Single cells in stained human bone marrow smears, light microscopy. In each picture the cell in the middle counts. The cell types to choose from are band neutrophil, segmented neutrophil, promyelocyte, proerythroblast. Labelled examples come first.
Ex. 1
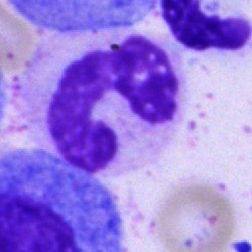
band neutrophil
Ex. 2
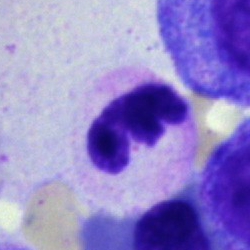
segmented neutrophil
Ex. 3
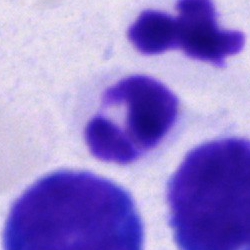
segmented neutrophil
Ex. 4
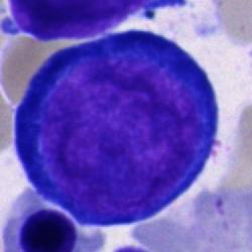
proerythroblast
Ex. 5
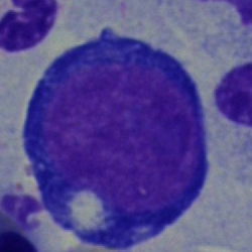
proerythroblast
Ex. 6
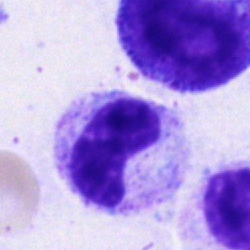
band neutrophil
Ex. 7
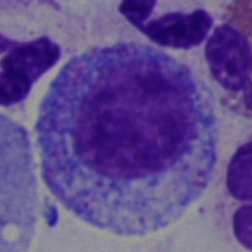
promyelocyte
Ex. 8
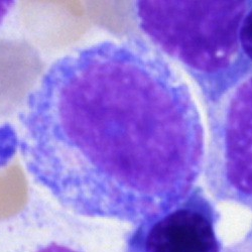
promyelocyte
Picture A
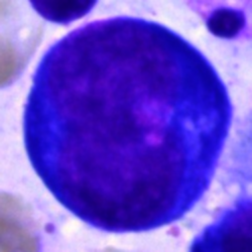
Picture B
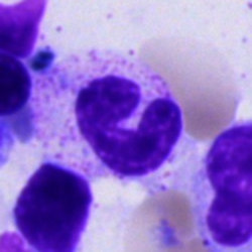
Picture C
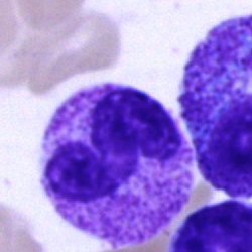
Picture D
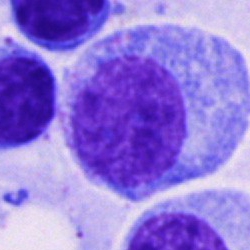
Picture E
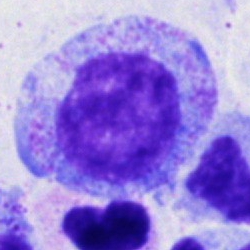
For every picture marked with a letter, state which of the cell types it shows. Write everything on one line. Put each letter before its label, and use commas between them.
A proerythroblast, B band neutrophil, C band neutrophil, D promyelocyte, E promyelocyte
